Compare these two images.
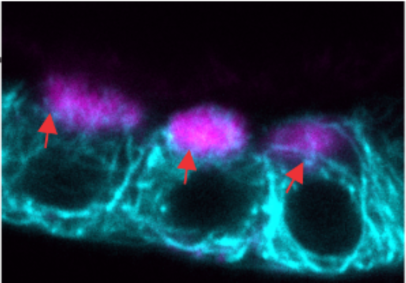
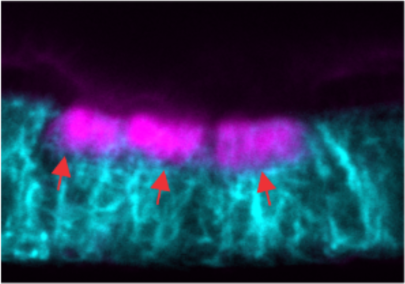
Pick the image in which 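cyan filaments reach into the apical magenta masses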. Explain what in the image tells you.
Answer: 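First image: at the red arrows cyan threads run up into and around the magenta masses. Second image: the red arrows point just beneath the magenta masses, and cyan filaments end below them. So: the first image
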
